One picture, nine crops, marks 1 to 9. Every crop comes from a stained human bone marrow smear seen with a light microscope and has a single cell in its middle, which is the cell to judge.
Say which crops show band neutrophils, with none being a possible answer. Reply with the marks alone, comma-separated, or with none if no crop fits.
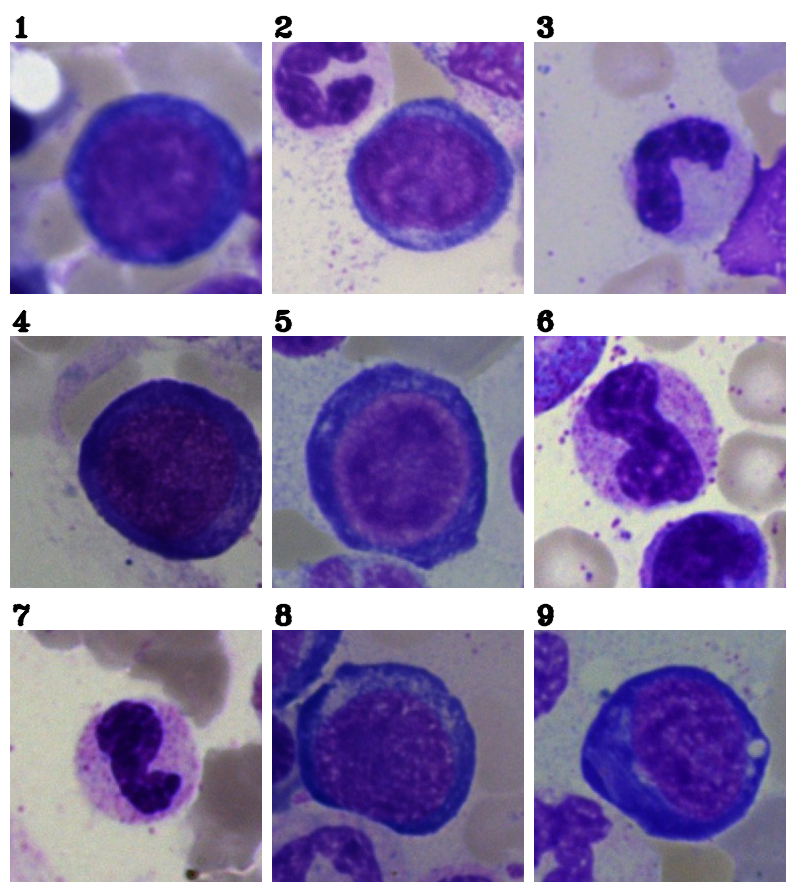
6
